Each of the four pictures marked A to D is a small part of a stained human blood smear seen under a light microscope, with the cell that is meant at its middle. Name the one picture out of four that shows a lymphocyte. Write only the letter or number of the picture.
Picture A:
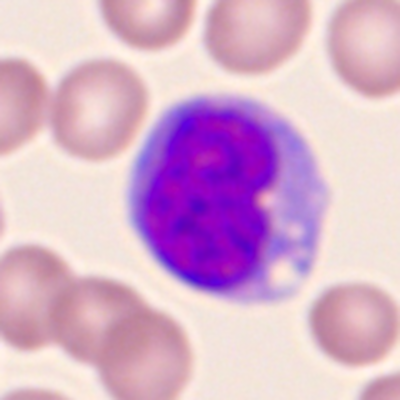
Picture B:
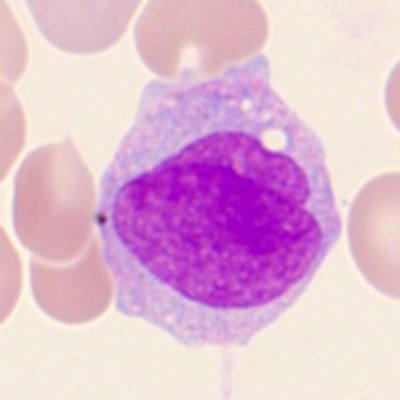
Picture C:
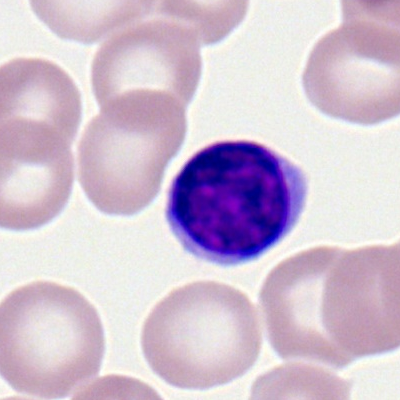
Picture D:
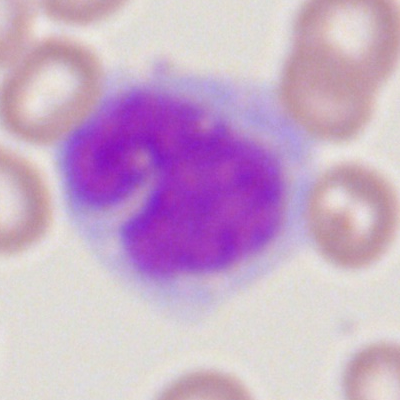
C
